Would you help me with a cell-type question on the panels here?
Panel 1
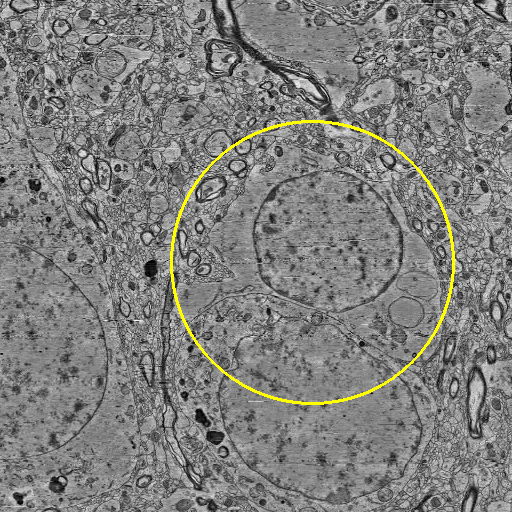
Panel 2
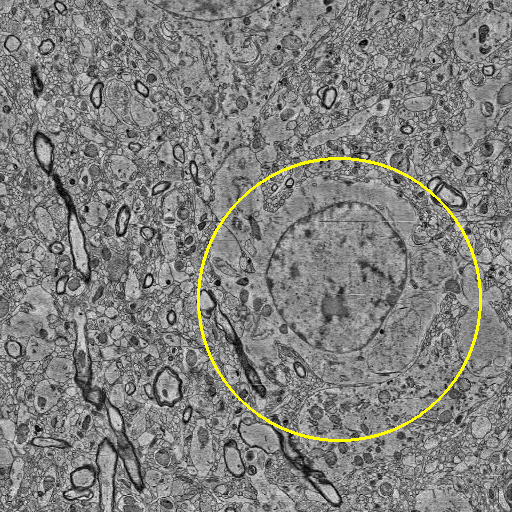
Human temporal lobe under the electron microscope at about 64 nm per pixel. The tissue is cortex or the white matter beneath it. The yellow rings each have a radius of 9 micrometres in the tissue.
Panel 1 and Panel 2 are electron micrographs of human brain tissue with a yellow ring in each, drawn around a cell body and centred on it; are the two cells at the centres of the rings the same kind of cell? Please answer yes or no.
yes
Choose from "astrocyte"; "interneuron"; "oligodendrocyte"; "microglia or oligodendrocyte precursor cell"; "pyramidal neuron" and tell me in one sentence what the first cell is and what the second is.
Each of the two rings is centred on an astrocyte.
